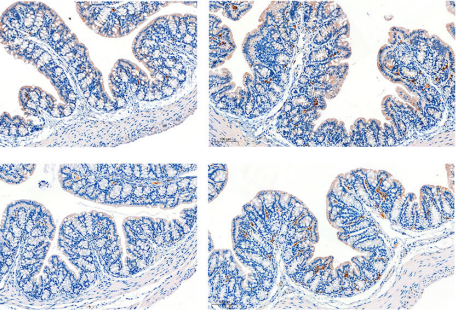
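Four views of colonic mucosa show folds with closely packed tubular crypts above a thin smooth muscle wall. The epithelium consists of columnar cells and many pale goblet cells, and blue nuclei mark the bases of the epithelial cells and the cells of the lamina propria. A faint brown tint follows the luminal surface of the epithelium. Small brown cells are scattered in the lamina propria between the crypts and near the surface, and they appear more frequent in some views than in others.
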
